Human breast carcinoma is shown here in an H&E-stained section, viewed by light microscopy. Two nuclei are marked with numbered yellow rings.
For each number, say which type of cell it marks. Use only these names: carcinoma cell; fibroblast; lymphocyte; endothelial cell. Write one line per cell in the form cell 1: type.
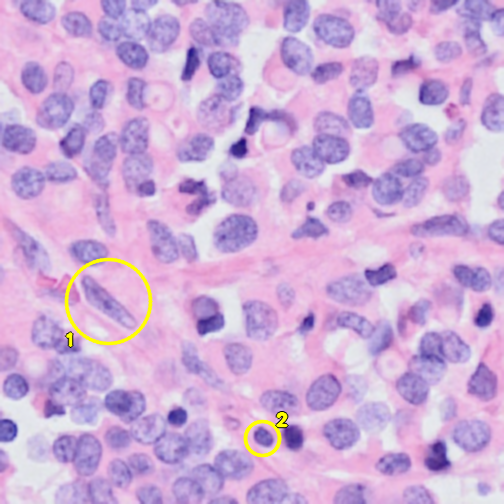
cell 1: endothelial cell
cell 2: lymphocyte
